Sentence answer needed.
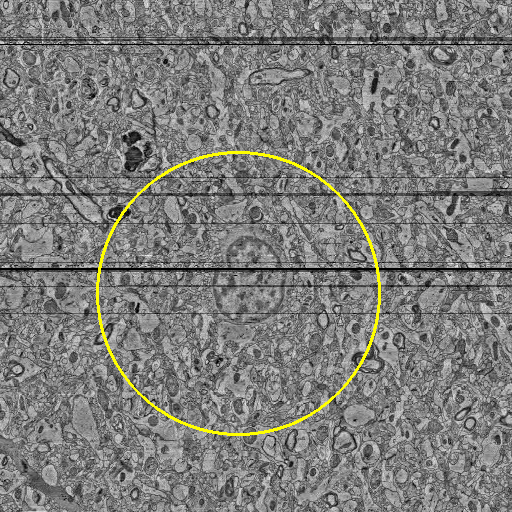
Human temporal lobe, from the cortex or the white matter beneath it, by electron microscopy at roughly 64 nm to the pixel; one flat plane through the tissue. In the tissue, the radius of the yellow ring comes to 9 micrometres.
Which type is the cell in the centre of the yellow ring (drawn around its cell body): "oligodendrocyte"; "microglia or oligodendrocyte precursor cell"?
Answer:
In the centre of the yellow ring is an oligodendrocyte.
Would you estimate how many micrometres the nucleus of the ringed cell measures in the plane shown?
The nucleus is approximately 6 micrometers long by 5 micrometers wide in this plane.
